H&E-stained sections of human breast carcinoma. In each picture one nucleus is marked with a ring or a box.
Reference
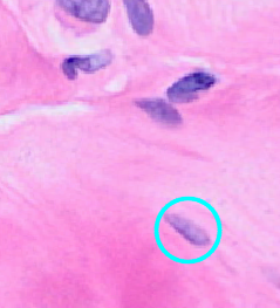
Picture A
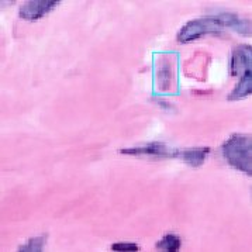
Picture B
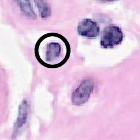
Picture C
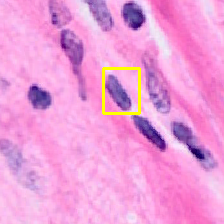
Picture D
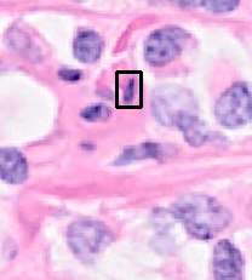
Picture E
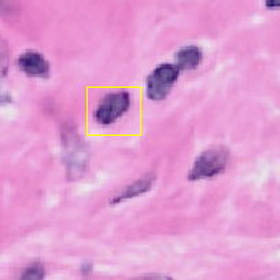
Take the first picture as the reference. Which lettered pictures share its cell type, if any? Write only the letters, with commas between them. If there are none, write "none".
none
